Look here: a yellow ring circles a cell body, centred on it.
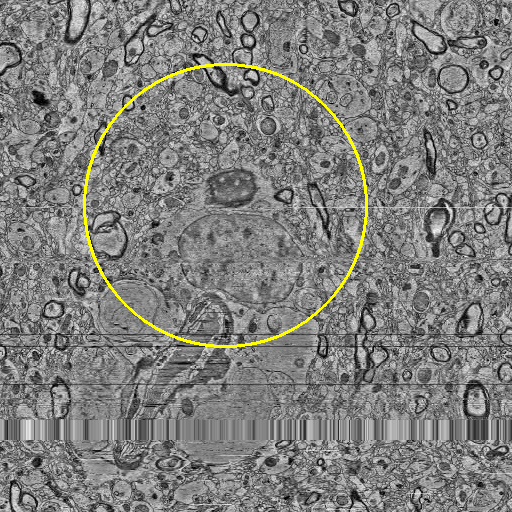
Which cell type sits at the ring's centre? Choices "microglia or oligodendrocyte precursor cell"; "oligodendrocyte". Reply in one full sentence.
The cell at the centre of the yellow ring in the picture is an oligodendrocyte.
